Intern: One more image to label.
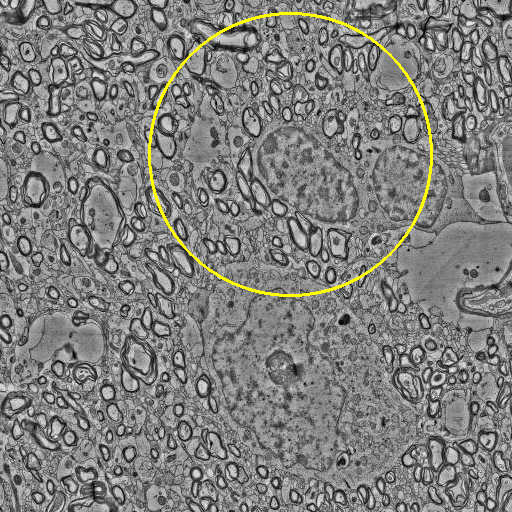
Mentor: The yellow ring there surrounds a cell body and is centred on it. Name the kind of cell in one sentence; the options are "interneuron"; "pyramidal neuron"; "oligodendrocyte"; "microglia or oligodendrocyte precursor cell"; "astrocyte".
The ring marks the cell body of an oligodendrocyte.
